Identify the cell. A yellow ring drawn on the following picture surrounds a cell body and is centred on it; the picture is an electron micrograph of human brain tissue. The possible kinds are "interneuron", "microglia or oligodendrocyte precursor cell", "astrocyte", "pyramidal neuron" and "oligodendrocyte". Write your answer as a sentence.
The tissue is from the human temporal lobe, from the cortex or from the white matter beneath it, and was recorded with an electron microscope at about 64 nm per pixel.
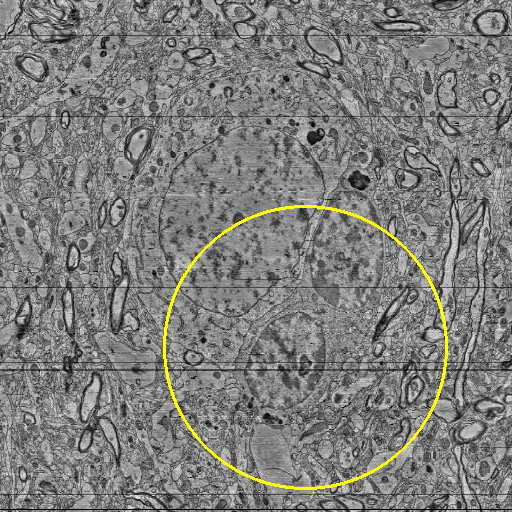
The cell identified by the ring is an oligodendrocyte.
